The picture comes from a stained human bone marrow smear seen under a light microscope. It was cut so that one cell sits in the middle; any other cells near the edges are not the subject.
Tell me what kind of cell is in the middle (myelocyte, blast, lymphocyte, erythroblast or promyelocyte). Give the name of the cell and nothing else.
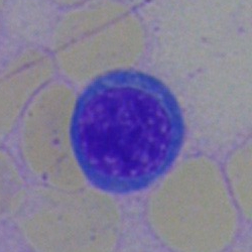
erythroblast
